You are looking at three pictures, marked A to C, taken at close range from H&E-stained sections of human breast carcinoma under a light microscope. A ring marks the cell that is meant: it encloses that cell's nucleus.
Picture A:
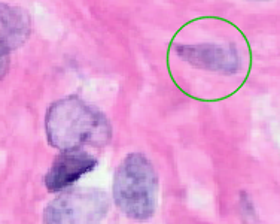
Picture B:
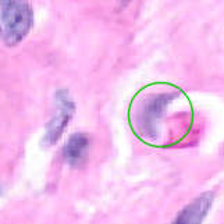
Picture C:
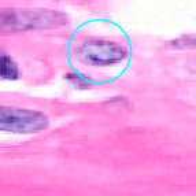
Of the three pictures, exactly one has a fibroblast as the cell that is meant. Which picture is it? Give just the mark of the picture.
A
